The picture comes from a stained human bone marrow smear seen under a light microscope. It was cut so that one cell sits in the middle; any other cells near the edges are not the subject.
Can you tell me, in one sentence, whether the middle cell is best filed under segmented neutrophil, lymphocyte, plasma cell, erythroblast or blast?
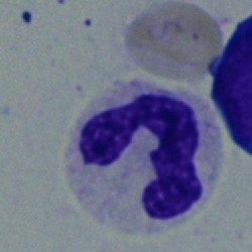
The cell around which this crop is centred is a segmented neutrophil.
